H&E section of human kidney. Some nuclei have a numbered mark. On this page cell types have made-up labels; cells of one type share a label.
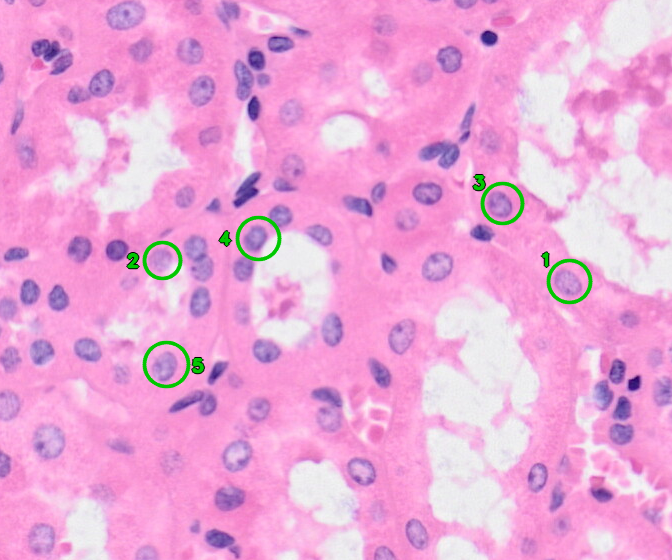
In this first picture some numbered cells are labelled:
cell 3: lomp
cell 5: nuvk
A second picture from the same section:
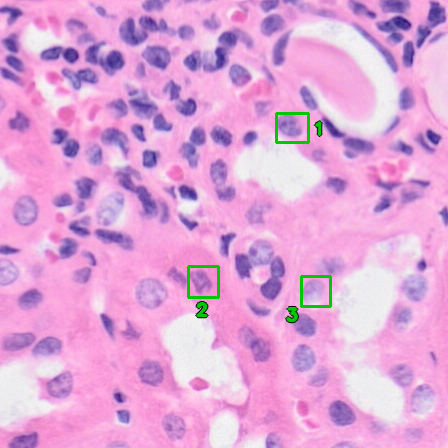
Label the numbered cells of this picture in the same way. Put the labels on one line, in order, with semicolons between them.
nuvk; lomp; nuvk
